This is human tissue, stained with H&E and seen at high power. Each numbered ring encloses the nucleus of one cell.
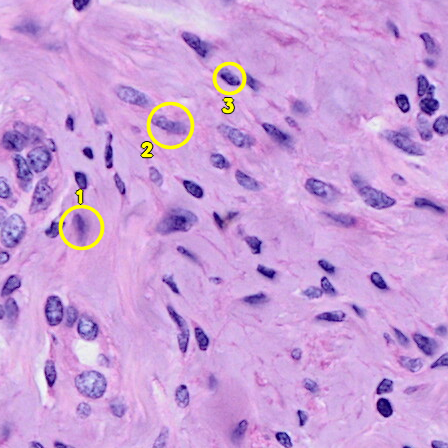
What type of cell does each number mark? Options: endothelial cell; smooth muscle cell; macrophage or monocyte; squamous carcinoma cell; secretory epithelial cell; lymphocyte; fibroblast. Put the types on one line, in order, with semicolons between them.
fibroblast; smooth muscle cell; fibroblast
